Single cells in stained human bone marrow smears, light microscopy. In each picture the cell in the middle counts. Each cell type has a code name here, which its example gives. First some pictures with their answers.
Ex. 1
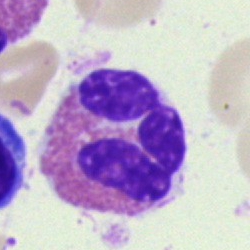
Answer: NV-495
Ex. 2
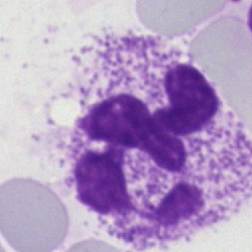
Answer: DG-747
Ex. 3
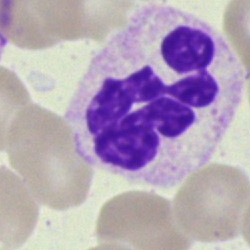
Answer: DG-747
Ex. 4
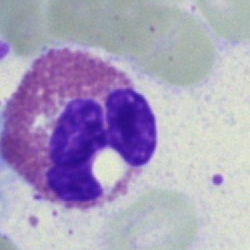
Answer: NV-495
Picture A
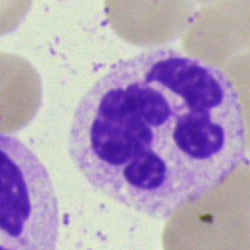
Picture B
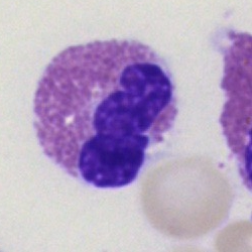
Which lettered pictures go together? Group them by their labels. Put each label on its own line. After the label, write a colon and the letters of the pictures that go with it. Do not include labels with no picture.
NV-495: B
DG-747: A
